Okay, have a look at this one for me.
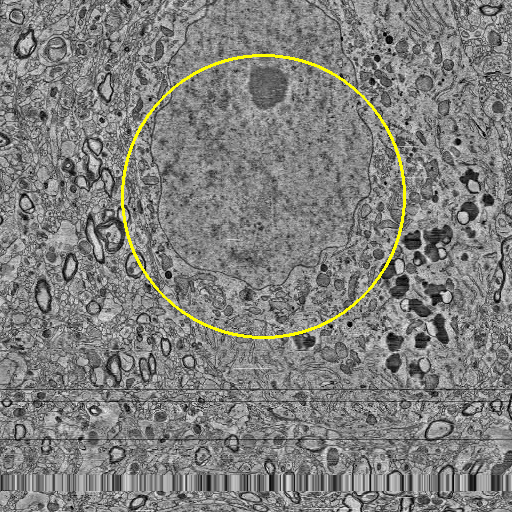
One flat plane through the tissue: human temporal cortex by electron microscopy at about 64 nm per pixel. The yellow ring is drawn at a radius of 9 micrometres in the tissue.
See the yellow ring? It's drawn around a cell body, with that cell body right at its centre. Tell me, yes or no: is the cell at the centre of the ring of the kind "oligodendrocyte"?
No, it belongs to another kind.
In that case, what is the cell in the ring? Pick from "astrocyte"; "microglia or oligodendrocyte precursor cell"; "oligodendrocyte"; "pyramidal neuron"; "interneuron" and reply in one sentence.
The cell in the ring is a pyramidal neuron instead.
